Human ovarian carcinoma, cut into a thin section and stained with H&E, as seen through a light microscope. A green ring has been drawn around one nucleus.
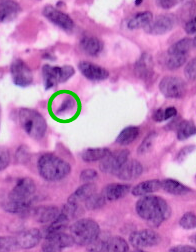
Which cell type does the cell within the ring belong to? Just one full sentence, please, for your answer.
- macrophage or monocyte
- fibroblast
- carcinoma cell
Placed in its cell category, the cell within the ring is a macrophage or monocyte.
